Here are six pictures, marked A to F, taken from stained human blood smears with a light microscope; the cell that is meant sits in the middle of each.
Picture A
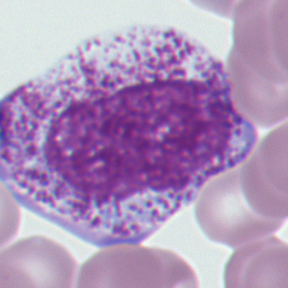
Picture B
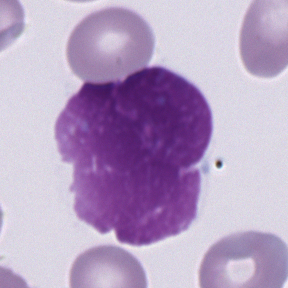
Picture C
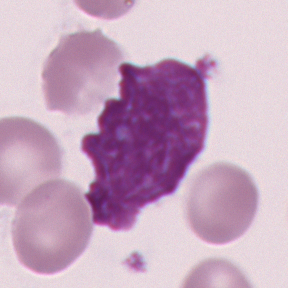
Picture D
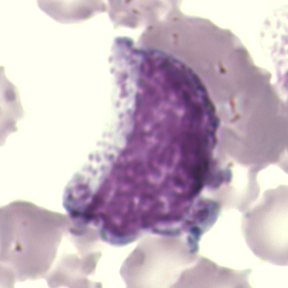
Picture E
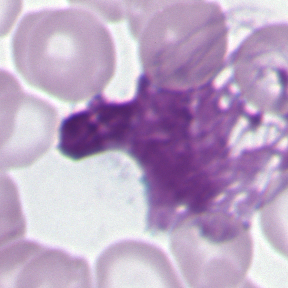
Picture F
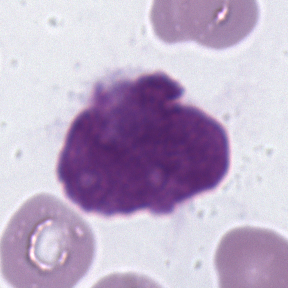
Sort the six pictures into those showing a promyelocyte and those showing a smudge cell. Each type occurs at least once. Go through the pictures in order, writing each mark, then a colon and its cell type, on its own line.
A: promyelocyte
B: smudge cell
C: smudge cell
D: promyelocyte
E: smudge cell
F: smudge cell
